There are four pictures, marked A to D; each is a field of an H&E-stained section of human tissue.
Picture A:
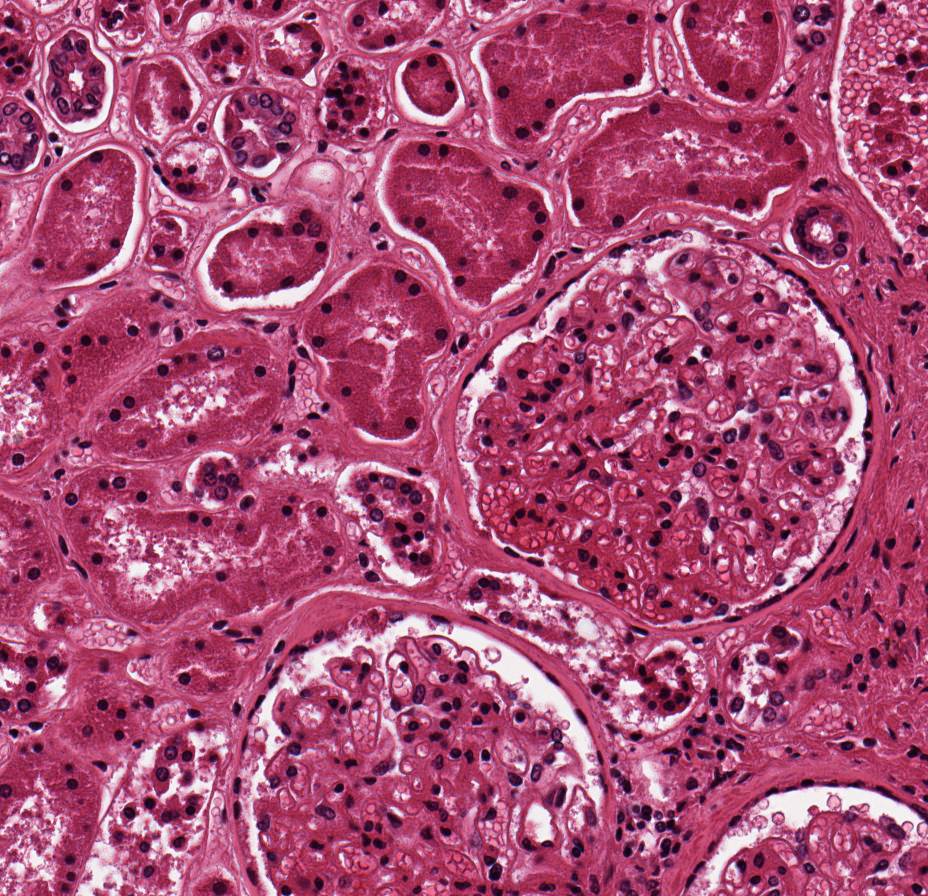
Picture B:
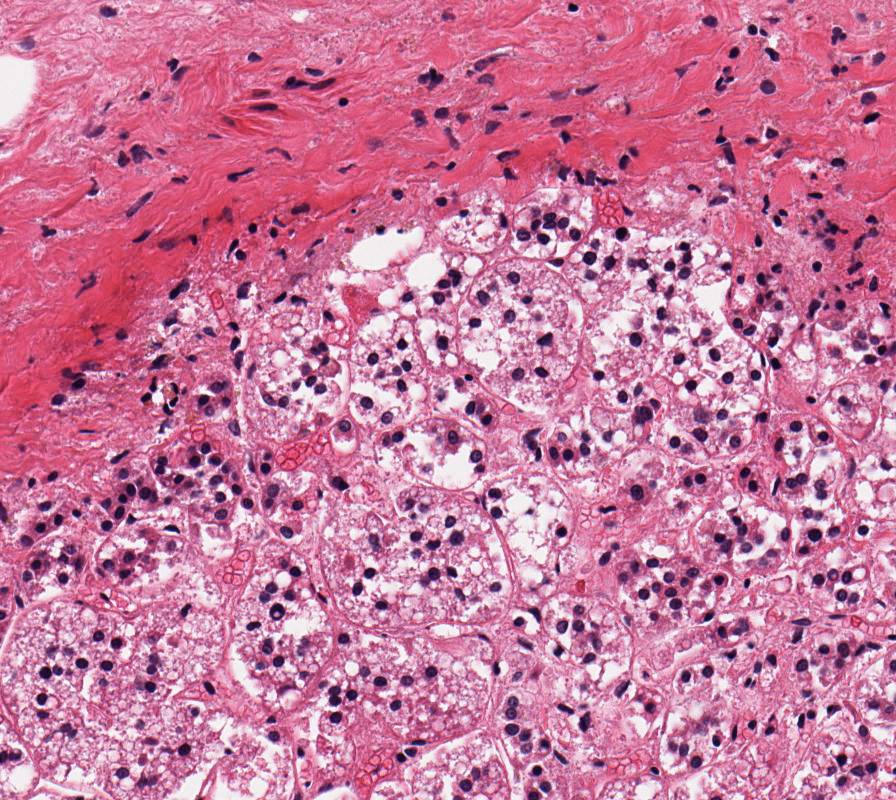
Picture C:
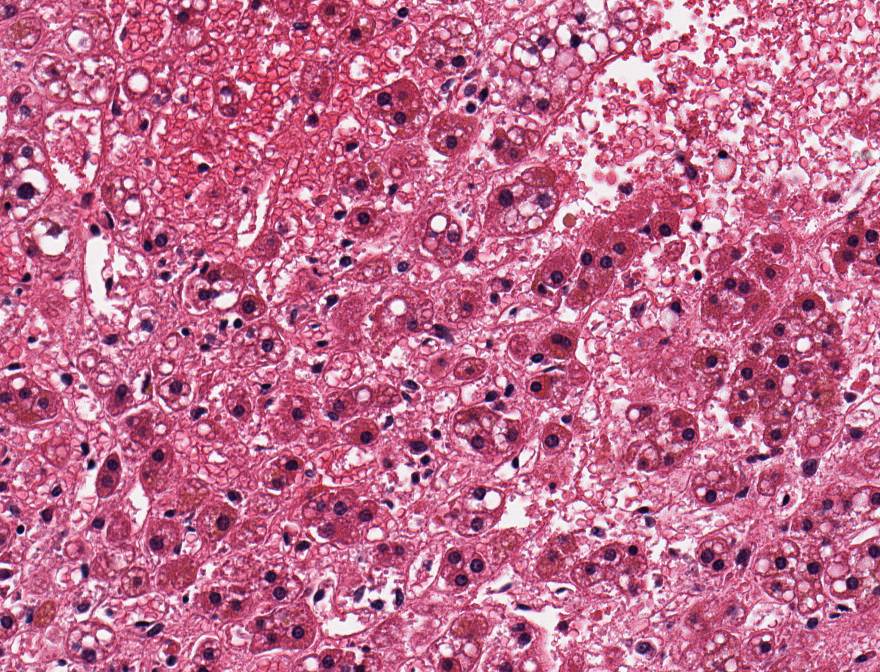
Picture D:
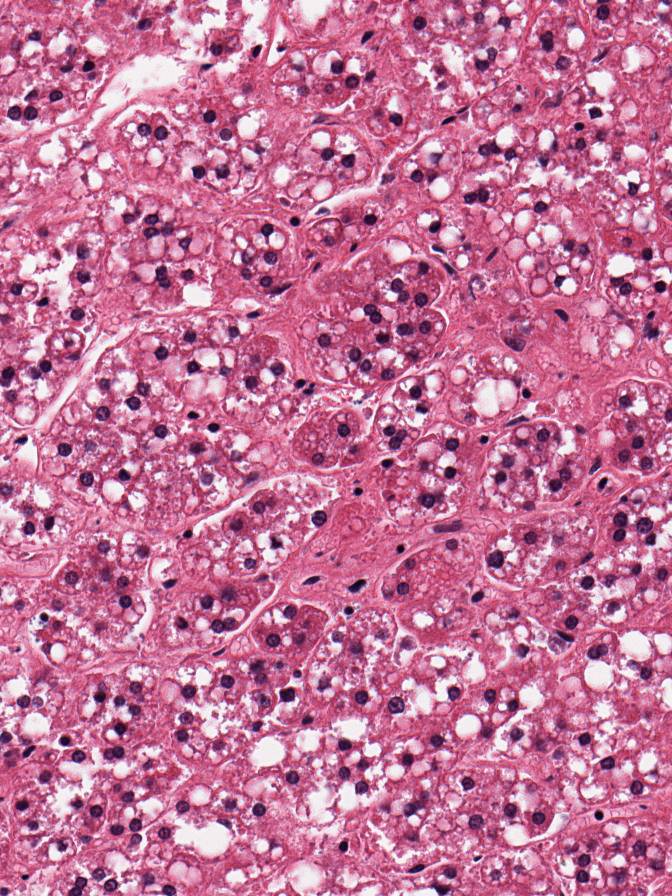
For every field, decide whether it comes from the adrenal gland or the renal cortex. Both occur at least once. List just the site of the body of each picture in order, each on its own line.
renal cortex
adrenal gland
adrenal gland
adrenal gland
